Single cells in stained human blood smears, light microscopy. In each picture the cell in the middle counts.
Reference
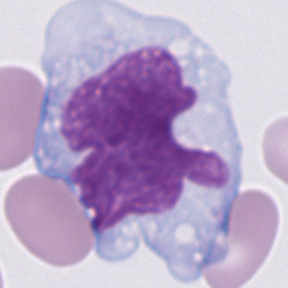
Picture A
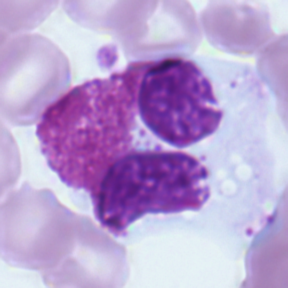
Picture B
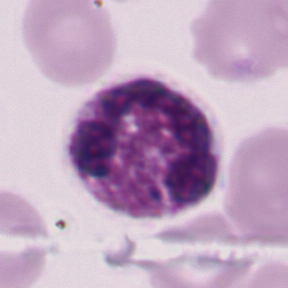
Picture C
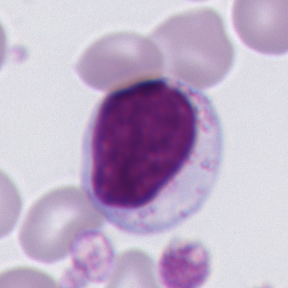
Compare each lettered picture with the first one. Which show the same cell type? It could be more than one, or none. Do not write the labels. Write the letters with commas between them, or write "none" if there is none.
none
